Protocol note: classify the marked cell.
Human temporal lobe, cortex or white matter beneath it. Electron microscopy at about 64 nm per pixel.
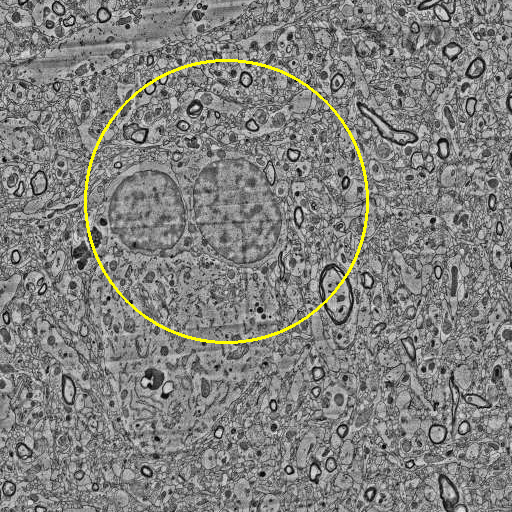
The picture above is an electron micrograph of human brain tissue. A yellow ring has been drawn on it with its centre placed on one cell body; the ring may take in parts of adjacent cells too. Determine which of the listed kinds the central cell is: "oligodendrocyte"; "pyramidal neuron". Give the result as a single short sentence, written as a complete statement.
The central cell is an oligodendrocyte.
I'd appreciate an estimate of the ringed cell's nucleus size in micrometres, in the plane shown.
Roughly 7 micrometres by 5 micrometres, in this plane.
